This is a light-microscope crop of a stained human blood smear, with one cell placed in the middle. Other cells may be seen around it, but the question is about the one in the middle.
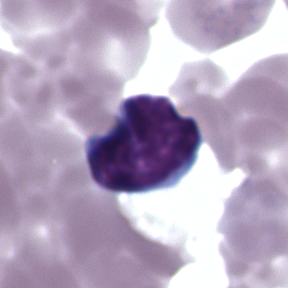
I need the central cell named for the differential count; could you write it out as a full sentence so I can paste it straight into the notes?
In the central position of this crop, the cell is a typical lymphocyte.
